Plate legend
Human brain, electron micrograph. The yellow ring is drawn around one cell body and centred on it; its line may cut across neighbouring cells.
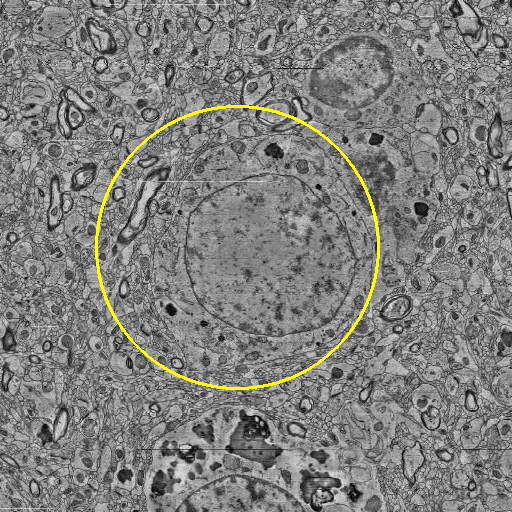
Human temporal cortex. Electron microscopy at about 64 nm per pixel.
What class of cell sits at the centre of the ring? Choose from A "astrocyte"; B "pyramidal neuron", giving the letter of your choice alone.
B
